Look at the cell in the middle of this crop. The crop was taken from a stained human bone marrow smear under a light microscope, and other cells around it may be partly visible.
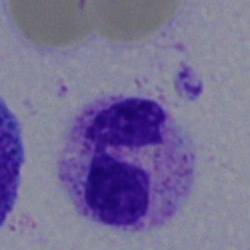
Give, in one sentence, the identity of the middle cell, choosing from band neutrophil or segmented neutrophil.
By classification, the middle cell of this crop is a segmented neutrophil.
